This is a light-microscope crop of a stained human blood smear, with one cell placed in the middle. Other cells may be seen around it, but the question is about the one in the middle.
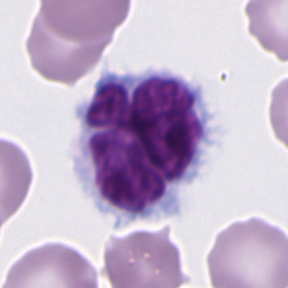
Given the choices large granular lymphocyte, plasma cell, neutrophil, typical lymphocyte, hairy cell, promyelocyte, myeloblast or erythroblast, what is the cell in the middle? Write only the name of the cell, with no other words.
hairy cell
